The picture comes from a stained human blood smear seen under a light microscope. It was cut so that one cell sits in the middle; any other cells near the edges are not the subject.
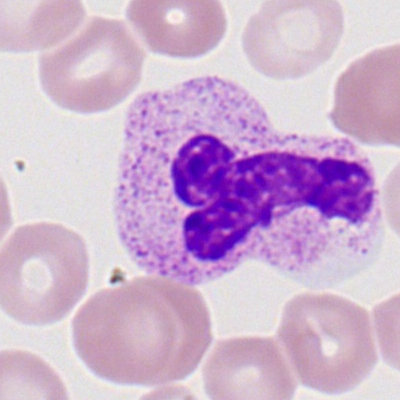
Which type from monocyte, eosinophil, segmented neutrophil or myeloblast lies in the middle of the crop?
segmented neutrophil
